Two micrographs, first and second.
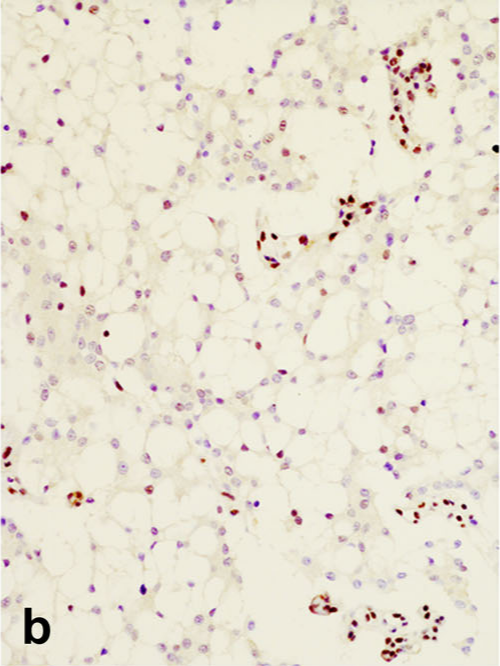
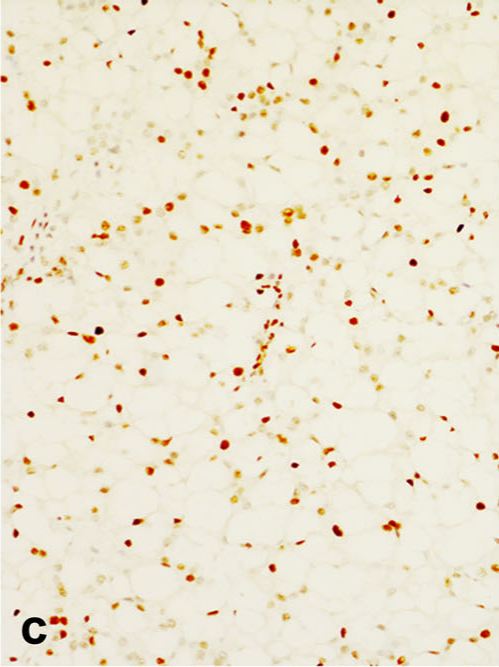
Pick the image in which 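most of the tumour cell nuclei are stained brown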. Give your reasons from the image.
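Second image: brown to orange nuclei are scattered throughout the whole field among the clear vacuoles.
Conclusion: the second image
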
